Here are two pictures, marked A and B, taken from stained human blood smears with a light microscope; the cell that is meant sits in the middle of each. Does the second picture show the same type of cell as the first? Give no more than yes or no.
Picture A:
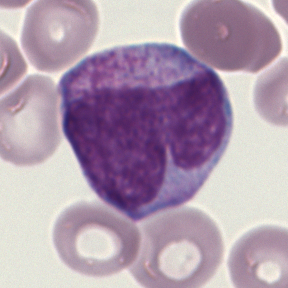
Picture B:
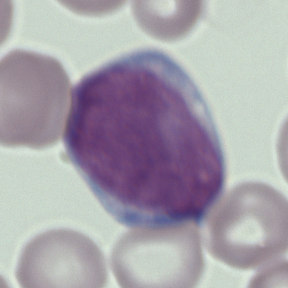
no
